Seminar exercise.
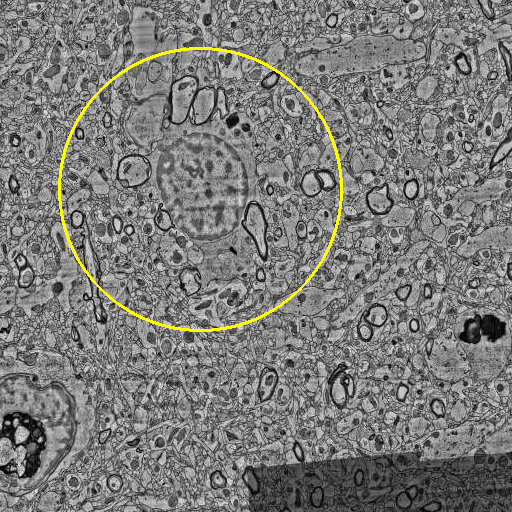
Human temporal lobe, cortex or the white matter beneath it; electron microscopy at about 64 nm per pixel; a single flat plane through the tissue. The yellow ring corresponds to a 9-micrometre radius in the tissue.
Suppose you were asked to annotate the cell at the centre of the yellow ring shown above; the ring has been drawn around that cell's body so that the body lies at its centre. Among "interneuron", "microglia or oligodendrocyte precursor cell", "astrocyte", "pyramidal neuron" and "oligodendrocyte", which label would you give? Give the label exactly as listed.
oligodendrocyte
